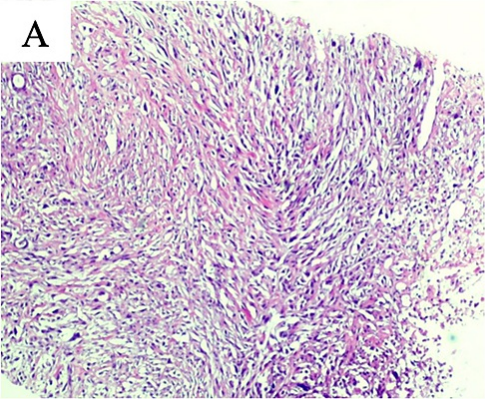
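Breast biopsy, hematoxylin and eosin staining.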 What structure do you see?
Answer: Fascicular.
